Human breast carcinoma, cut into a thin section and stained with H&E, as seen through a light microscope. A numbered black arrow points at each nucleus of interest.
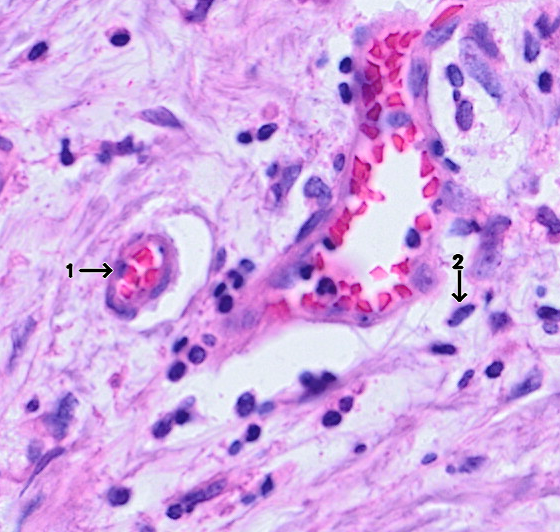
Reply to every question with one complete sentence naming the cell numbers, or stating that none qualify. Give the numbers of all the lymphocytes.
Of all the numbered cells, only cell 2 is a lymphocyte.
